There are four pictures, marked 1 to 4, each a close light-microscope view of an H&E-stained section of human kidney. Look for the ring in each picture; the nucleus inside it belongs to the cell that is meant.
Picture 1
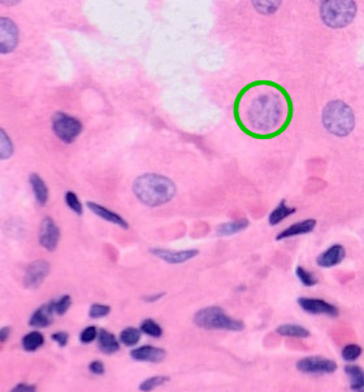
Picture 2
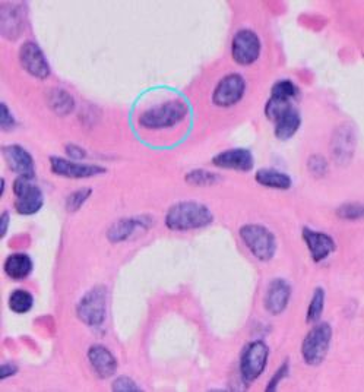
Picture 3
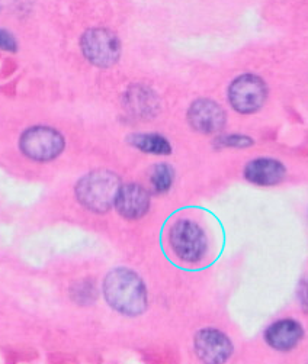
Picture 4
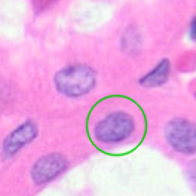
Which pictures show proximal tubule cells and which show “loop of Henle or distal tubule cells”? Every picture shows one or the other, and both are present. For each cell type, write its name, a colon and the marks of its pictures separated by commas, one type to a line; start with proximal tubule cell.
proximal tubule cell: 1
loop of Henle or distal tubule cell: 2, 3, 4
